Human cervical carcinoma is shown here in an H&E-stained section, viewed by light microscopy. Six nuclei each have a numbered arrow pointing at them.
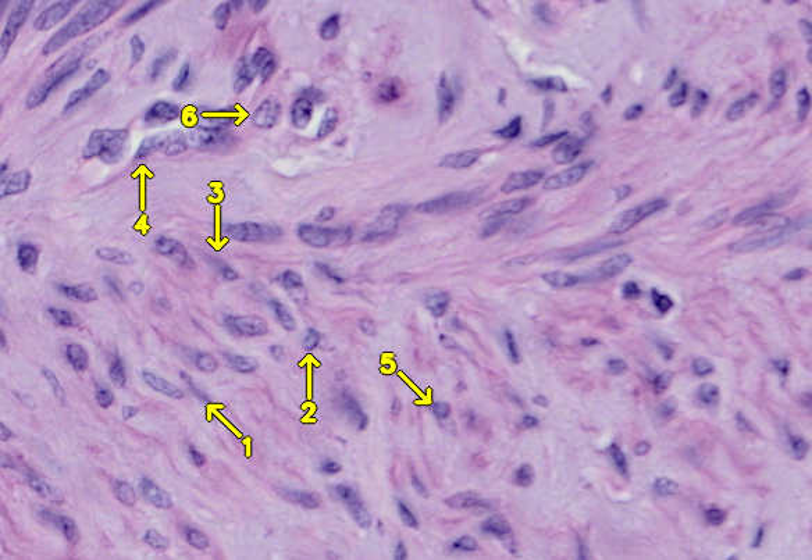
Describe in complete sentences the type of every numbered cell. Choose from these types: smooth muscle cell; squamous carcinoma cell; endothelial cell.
Cell 1 is a smooth muscle cell, cell 2 is a smooth muscle cell, cell 3 is a smooth muscle cell, cell 4 is an endothelial cell, cell 5 is a smooth muscle cell and cell 6 is an endothelial cell.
